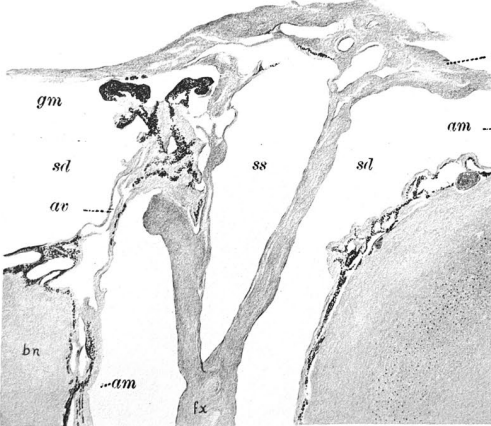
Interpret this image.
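This low-magnification section shows the meninges at the top of the brain, where an arachnoid villus reaches toward the superior sagittal sinus above the falx cerebri. A pale, fibrous band of dura runs across the top. A dense vertical falx rises from the bottom centre and splits beneath the dura, bounding a pale triangular sinus. Finely stippled brain tissue fills both lower sides. A thin, dark-edged arachnoid membrane covers each brain surface. Wide, empty spaces separate it from the dura.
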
